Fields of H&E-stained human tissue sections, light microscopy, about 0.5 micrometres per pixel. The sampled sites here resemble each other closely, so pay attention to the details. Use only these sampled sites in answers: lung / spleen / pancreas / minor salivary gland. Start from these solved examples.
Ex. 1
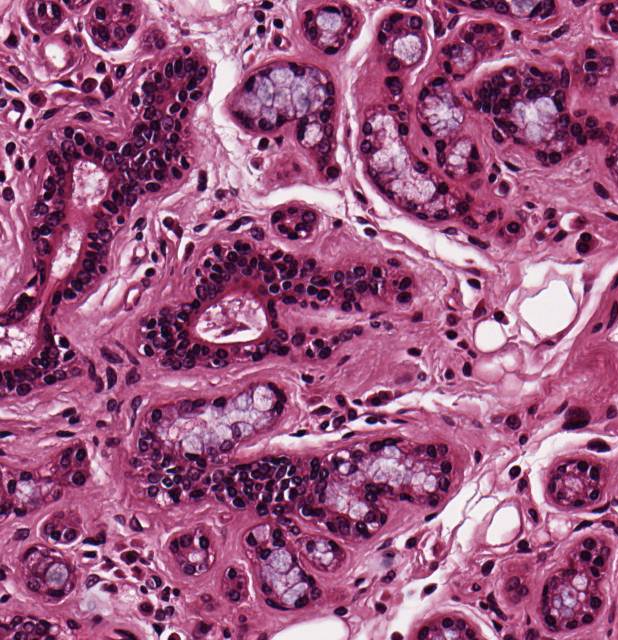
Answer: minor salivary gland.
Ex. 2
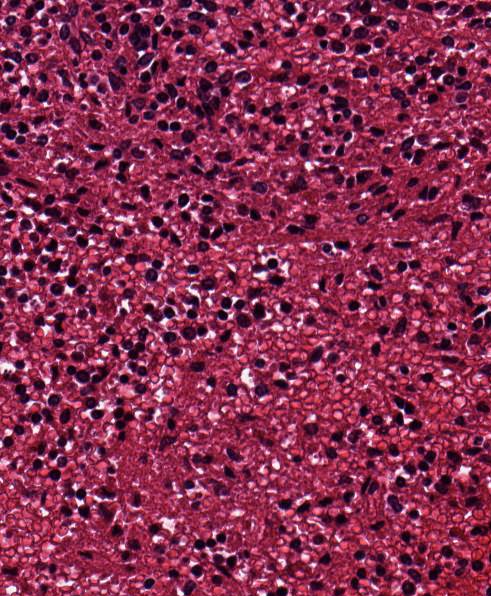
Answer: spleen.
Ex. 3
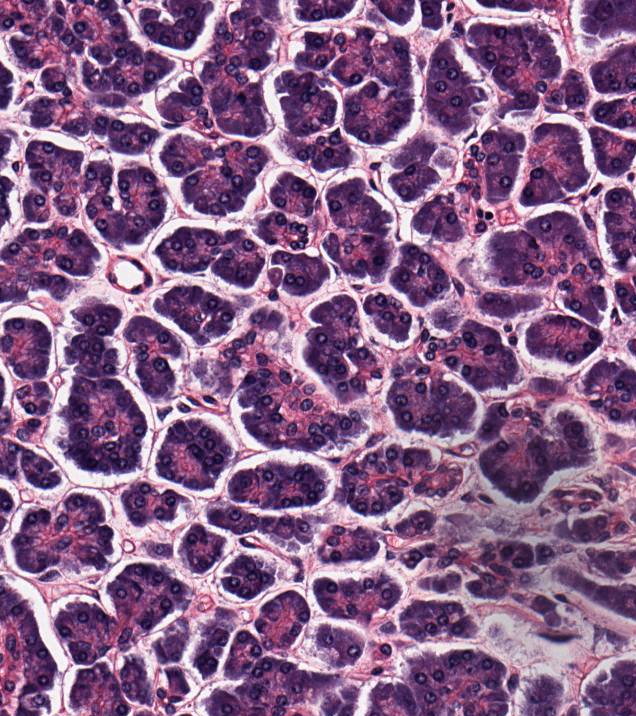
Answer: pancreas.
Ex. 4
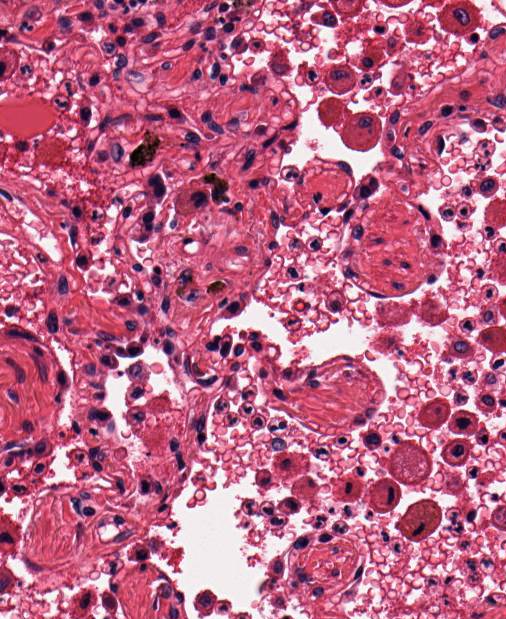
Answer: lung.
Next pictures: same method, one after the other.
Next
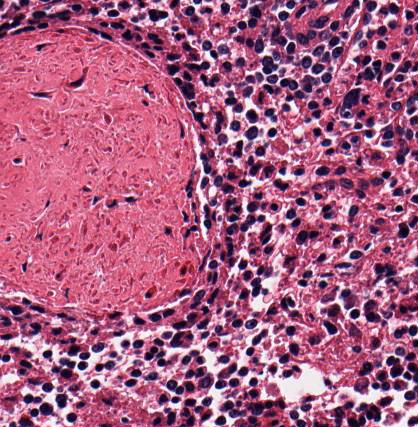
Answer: spleen.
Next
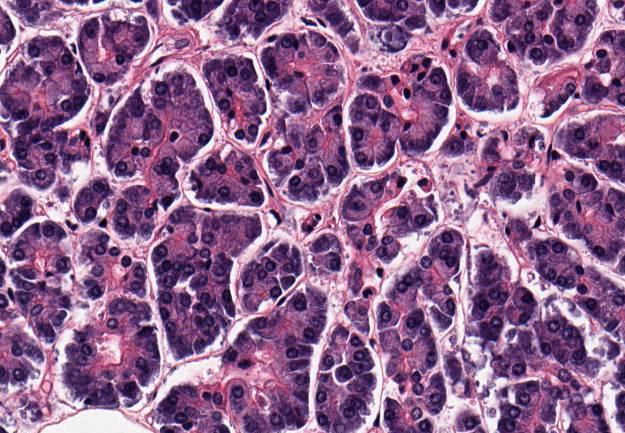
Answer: pancreas.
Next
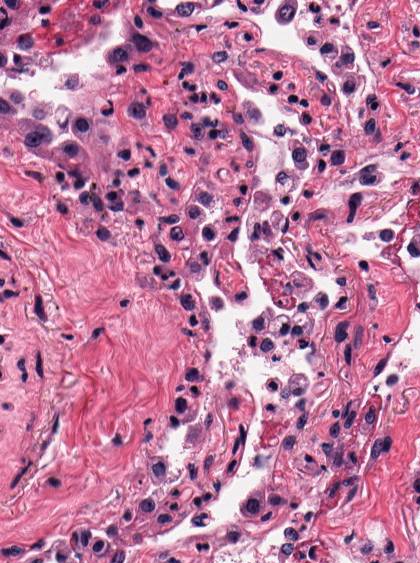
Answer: lung.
